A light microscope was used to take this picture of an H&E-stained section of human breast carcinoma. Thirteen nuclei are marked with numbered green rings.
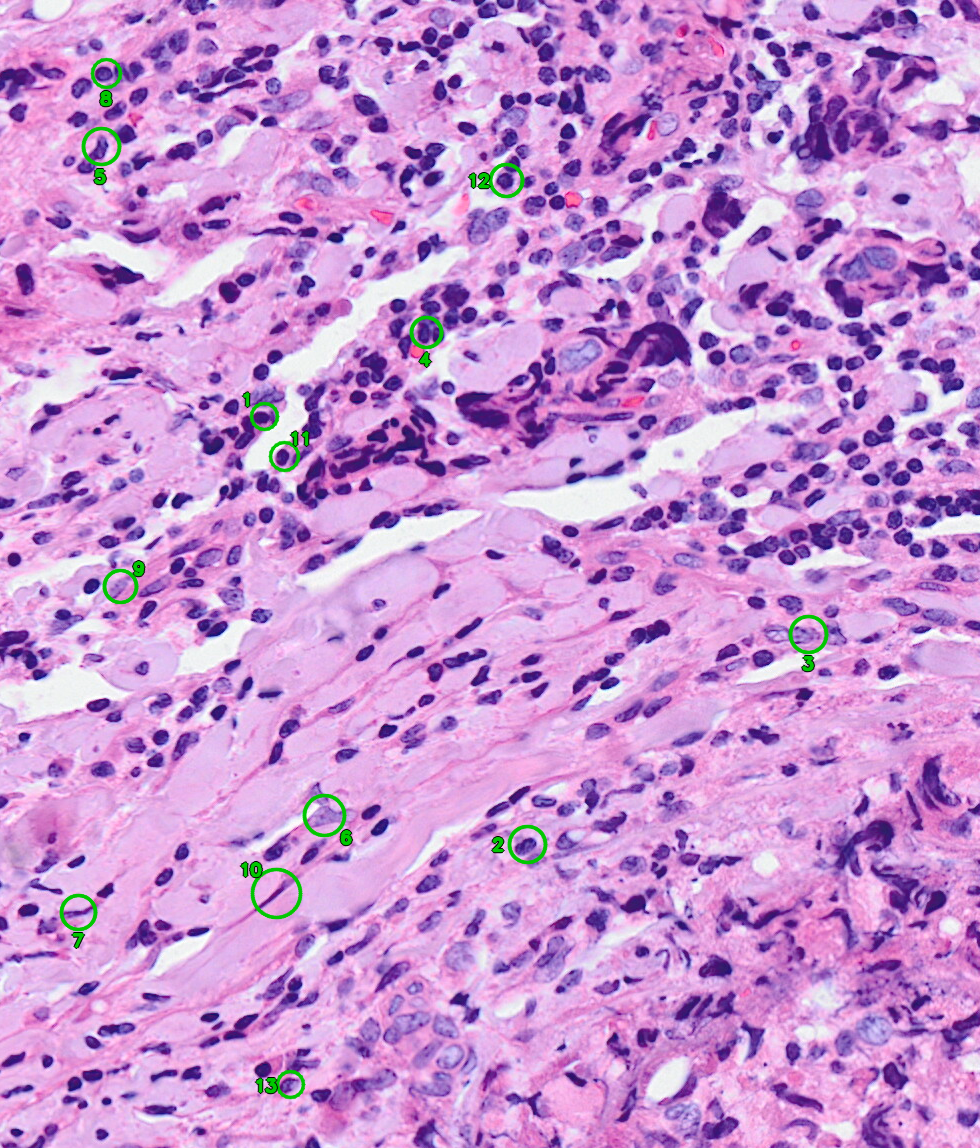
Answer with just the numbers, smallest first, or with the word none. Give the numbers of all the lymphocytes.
1, 2, 4, 5, 8, 11, 12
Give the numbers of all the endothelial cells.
9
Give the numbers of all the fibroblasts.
6, 7, 10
